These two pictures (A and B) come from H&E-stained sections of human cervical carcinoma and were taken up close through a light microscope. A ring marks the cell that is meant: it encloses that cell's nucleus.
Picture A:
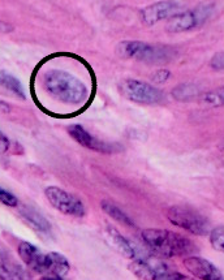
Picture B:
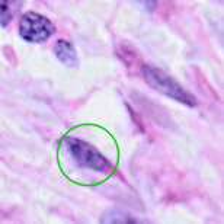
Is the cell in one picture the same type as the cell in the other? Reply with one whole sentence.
No; the cell in picture A is a “macrophage or monocyte”, while the one in picture B is a fibroblast.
